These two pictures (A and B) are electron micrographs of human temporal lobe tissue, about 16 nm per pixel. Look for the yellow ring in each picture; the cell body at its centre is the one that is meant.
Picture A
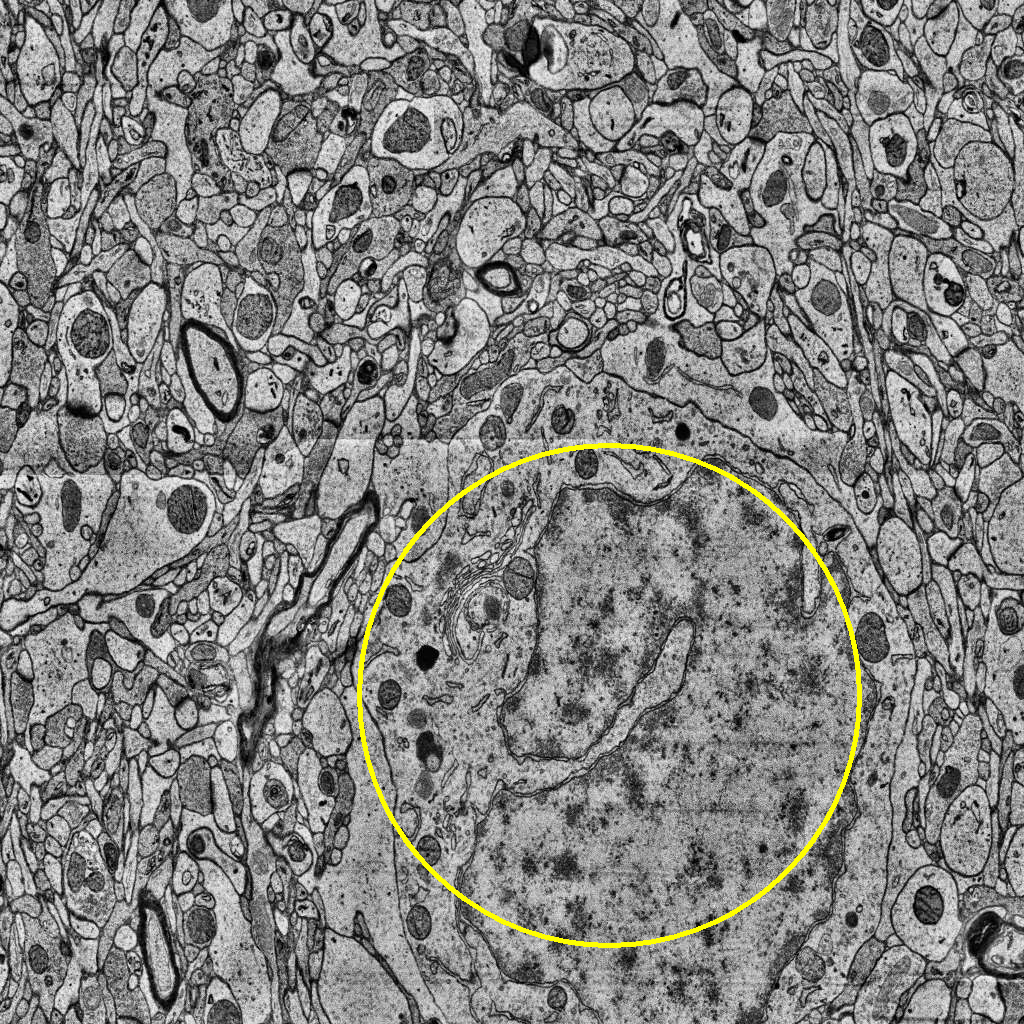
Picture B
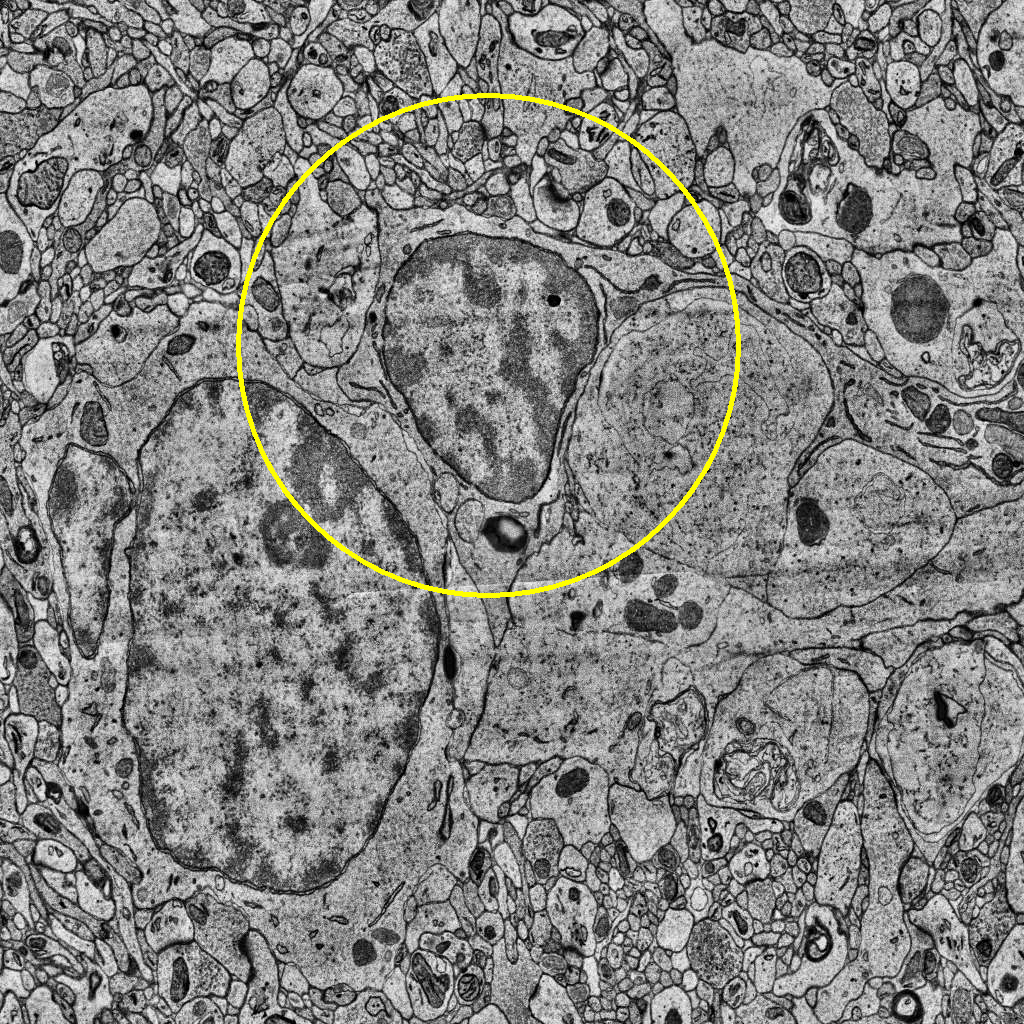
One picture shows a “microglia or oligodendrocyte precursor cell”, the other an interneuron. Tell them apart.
Picture B shows a “microglia or oligodendrocyte precursor cell”, while picture A shows an interneuron.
